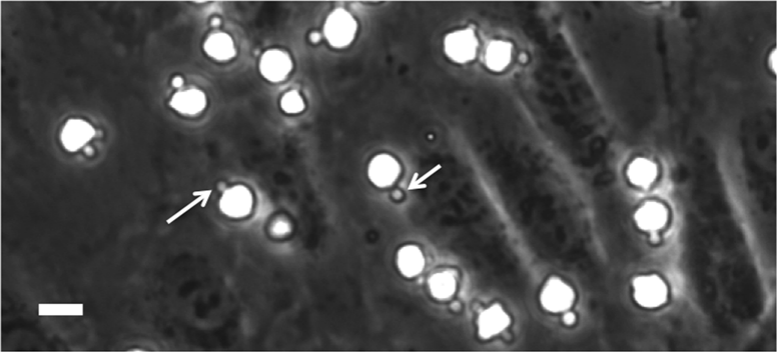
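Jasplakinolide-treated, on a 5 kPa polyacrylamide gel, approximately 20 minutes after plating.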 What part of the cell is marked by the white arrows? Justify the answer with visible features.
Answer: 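Each arrow points to a small round bright knob attached to the edge of a larger round bright cell. The knobs are much smaller than the cell bodies they are attached to. The answer: protrusion structures.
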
